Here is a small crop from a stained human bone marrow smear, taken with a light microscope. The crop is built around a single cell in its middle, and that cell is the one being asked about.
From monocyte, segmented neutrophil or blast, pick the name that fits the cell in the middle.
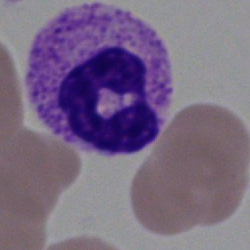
segmented neutrophil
